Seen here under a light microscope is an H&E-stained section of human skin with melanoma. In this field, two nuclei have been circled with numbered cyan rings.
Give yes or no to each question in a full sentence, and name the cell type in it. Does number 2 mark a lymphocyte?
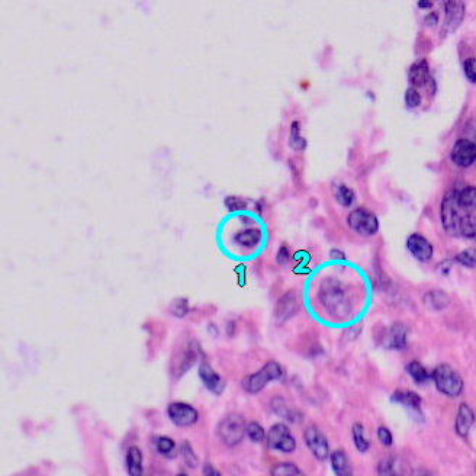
No, the cell marked 2 is a macrophage or monocyte rather than a lymphocyte.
